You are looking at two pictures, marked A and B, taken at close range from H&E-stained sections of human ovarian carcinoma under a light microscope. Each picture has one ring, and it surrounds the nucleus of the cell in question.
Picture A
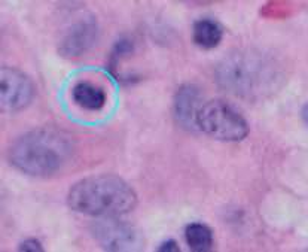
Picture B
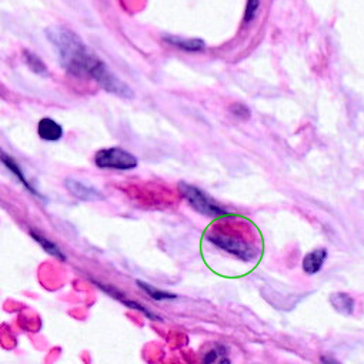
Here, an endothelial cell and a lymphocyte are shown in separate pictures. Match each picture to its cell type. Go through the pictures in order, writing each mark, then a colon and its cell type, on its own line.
A: lymphocyte
B: endothelial cell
